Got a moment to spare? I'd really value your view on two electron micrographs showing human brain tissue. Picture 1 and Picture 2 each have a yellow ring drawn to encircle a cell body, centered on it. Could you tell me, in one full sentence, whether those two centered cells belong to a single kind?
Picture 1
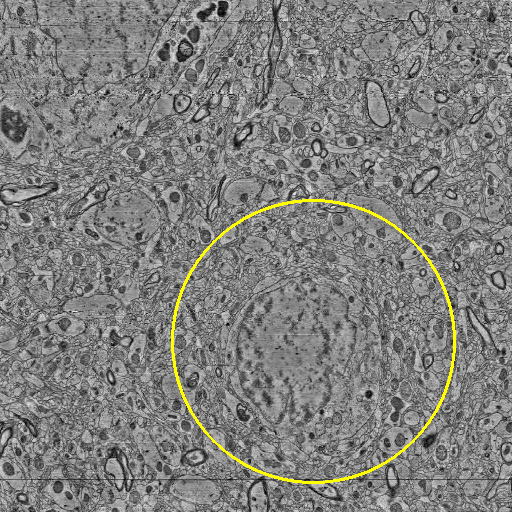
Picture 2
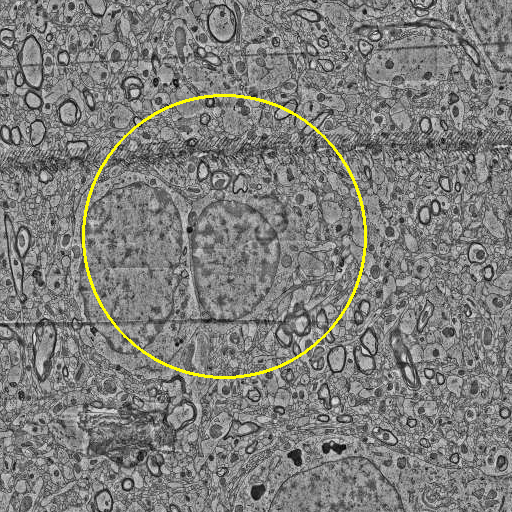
No, the two centered cells in Picture 1 and Picture 2 are of two kinds.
